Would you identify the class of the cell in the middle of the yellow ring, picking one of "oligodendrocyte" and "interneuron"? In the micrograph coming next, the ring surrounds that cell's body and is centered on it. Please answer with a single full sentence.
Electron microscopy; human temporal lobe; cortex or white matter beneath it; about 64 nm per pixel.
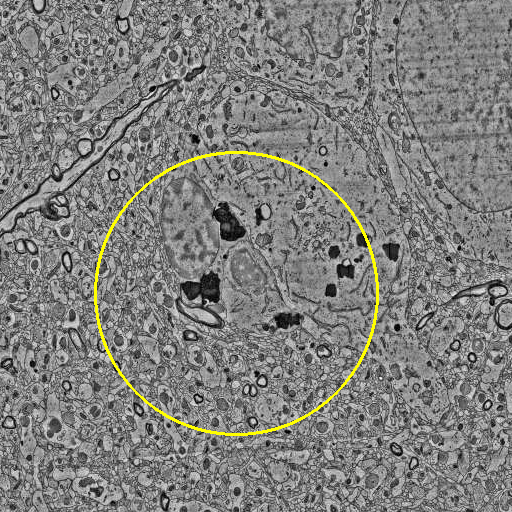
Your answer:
In the micrograph, it is an oligodendrocyte whose body lies at the ring's center.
